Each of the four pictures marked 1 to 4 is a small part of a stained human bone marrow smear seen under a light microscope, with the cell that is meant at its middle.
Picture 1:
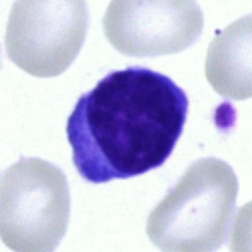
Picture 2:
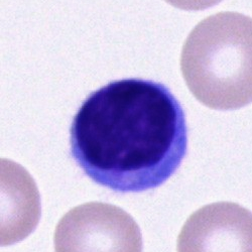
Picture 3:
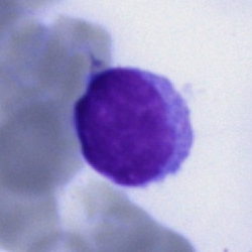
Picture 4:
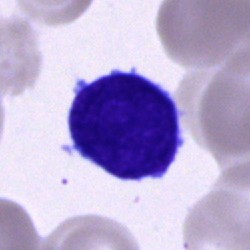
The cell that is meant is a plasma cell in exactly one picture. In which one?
1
